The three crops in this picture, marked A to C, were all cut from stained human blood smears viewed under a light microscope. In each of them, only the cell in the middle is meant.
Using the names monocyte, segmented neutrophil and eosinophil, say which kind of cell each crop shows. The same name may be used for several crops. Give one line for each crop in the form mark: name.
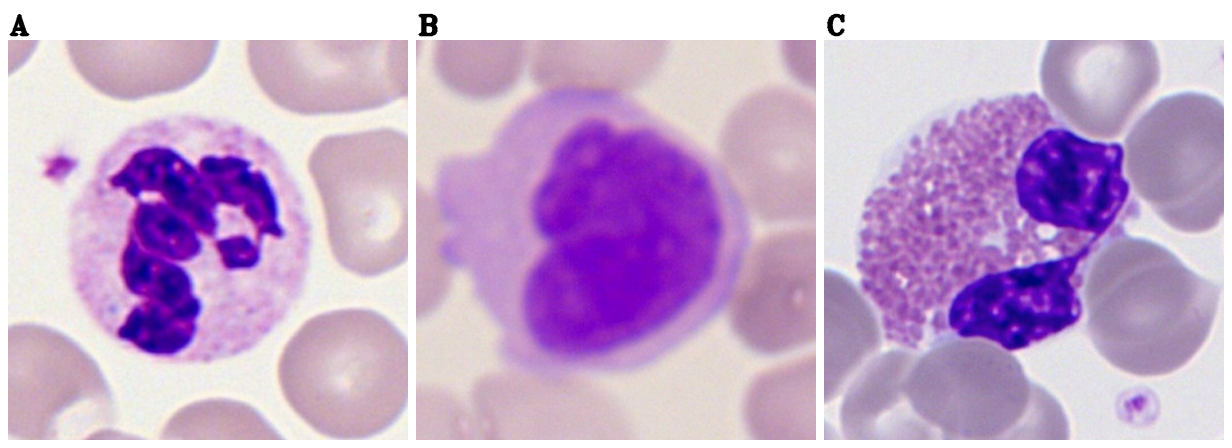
A: segmented neutrophil
B: monocyte
C: eosinophil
